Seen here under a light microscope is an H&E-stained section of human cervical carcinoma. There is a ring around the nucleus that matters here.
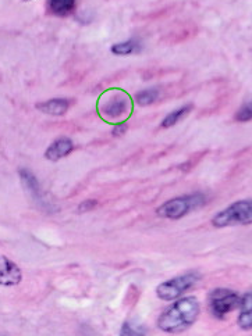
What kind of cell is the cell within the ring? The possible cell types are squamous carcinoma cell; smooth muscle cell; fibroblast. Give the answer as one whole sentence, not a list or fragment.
As for its identity, the cell within the ring is a smooth muscle cell.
